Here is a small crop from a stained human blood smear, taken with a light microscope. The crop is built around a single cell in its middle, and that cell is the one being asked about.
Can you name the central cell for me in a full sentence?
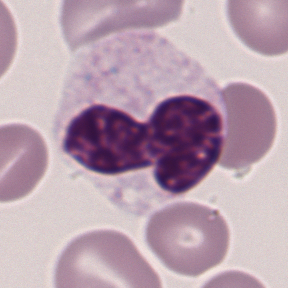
The cell marked by its central position in the crop is a neutrophil.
